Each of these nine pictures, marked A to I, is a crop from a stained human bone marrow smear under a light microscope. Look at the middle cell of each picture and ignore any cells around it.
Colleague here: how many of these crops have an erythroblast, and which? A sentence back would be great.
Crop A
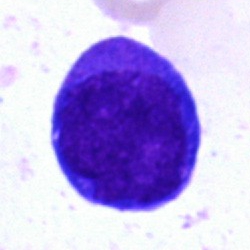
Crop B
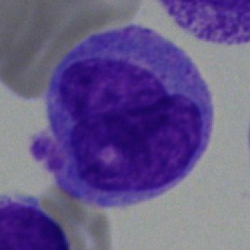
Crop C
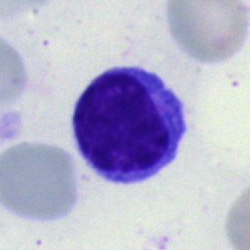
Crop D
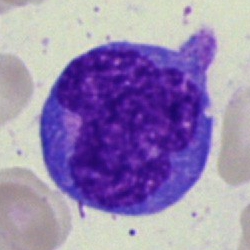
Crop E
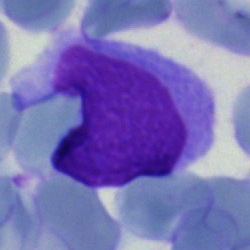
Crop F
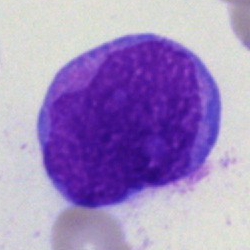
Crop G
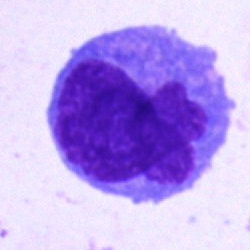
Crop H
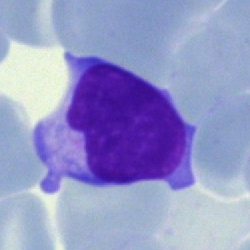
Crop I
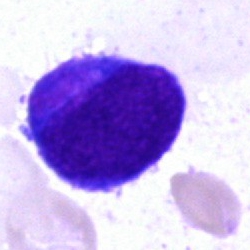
In every crop erythroblasts are lacking, and the count is zero.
